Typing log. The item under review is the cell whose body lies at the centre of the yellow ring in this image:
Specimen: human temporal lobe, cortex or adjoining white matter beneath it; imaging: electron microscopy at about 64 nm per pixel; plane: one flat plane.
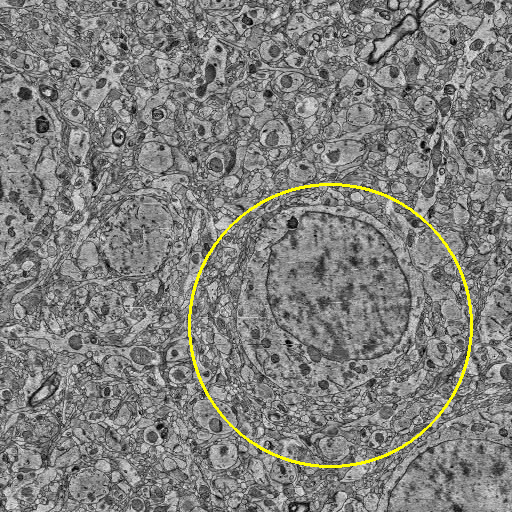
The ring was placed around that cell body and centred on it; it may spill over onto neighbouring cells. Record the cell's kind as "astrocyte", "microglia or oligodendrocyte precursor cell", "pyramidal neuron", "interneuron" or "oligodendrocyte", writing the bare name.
pyramidal neuron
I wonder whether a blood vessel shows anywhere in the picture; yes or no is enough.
No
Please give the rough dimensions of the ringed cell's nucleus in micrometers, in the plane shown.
In this plane, roughly 11 by 9 micrometres.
